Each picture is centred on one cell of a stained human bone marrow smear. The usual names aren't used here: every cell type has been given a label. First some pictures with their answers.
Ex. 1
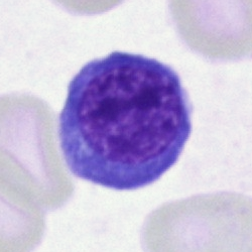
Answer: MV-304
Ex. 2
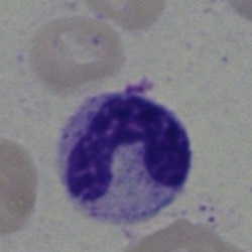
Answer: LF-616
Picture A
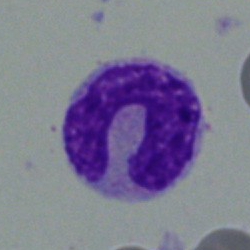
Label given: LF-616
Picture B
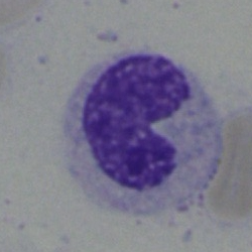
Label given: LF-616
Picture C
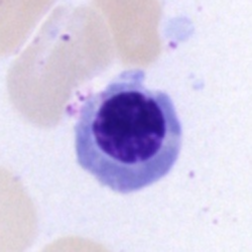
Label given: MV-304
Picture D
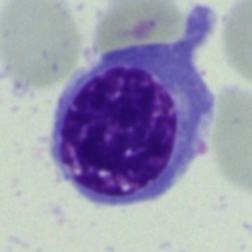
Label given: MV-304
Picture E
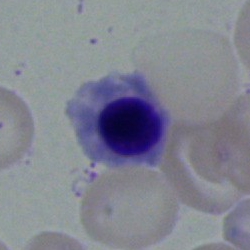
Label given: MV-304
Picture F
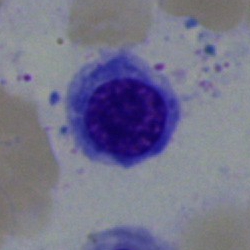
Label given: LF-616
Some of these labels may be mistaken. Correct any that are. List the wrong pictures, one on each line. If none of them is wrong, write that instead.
F: MV-304, not LF-616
